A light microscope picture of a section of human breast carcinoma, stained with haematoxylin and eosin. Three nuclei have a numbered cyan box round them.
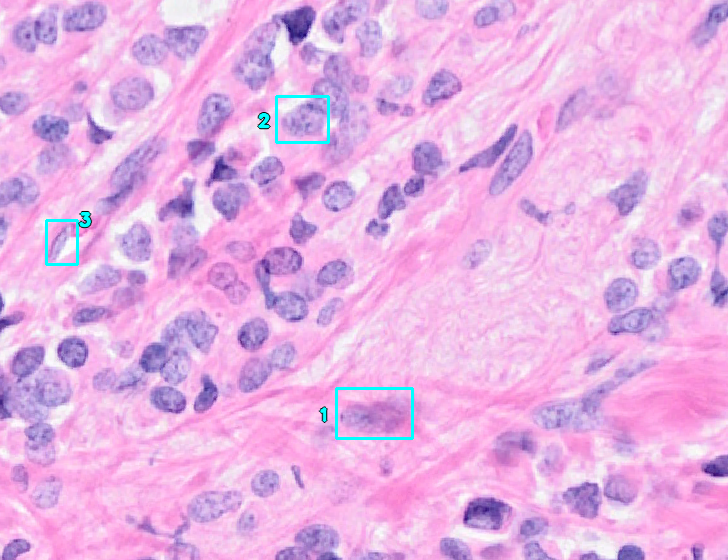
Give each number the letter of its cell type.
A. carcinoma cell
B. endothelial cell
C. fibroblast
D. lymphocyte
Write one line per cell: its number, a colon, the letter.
1: C
2: A
3: B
